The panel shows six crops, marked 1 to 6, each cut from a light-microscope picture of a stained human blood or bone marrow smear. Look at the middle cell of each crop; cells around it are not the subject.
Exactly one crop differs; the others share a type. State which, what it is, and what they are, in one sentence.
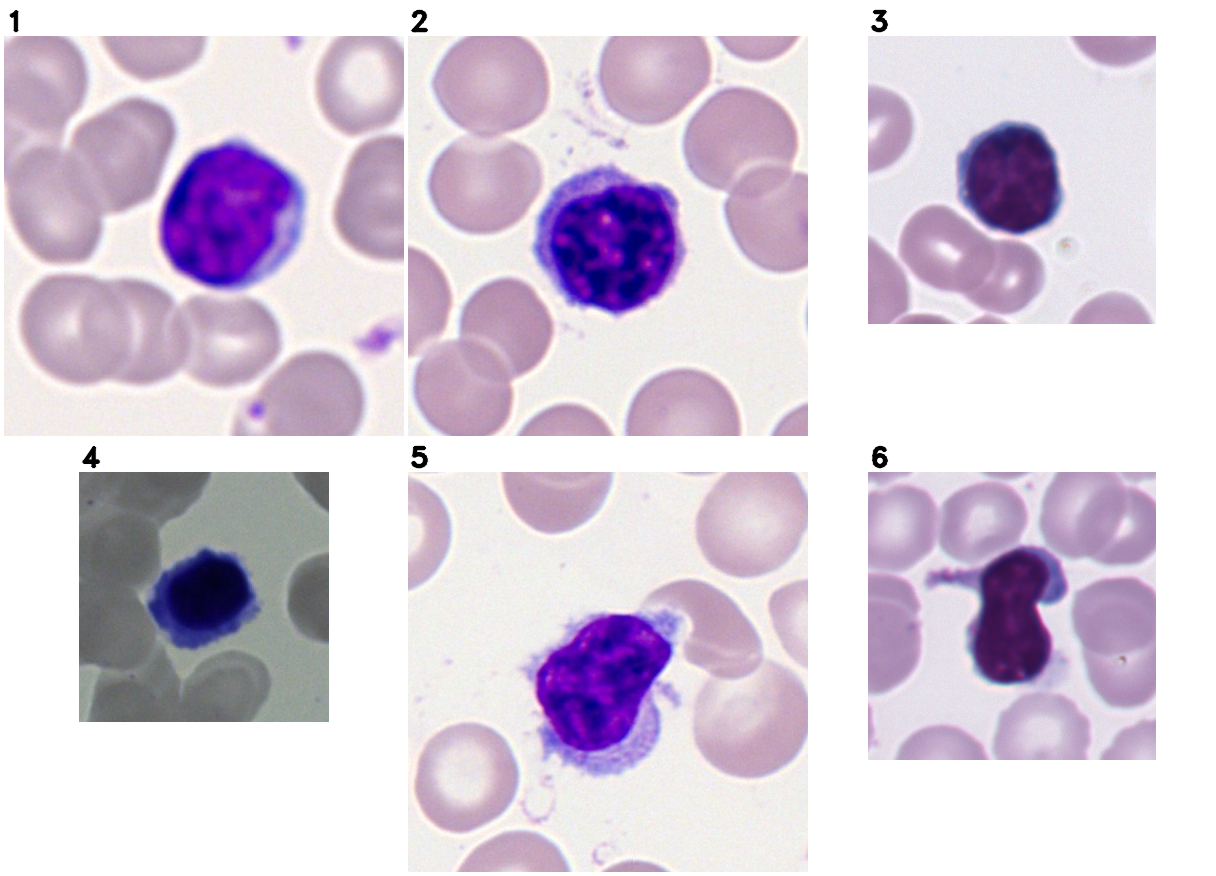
Only one crop differs, namely crop 4, which is an erythroblast; the others show lymphocytes.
